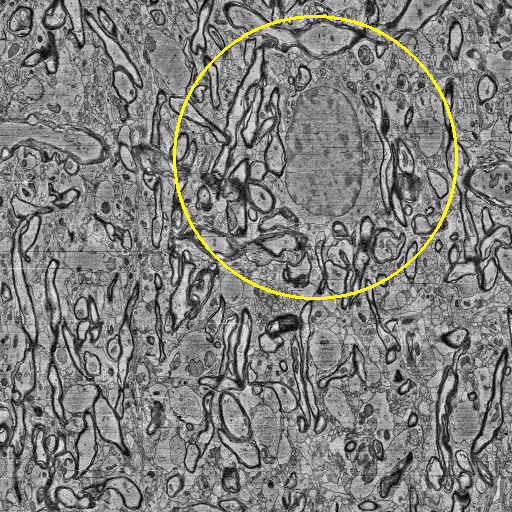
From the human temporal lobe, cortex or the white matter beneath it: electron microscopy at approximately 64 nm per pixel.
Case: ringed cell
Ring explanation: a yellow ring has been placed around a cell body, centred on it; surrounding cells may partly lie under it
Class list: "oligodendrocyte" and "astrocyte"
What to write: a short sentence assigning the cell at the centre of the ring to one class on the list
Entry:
The cell at the ring's centre is an oligodendrocyte.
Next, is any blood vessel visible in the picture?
No, there is none.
